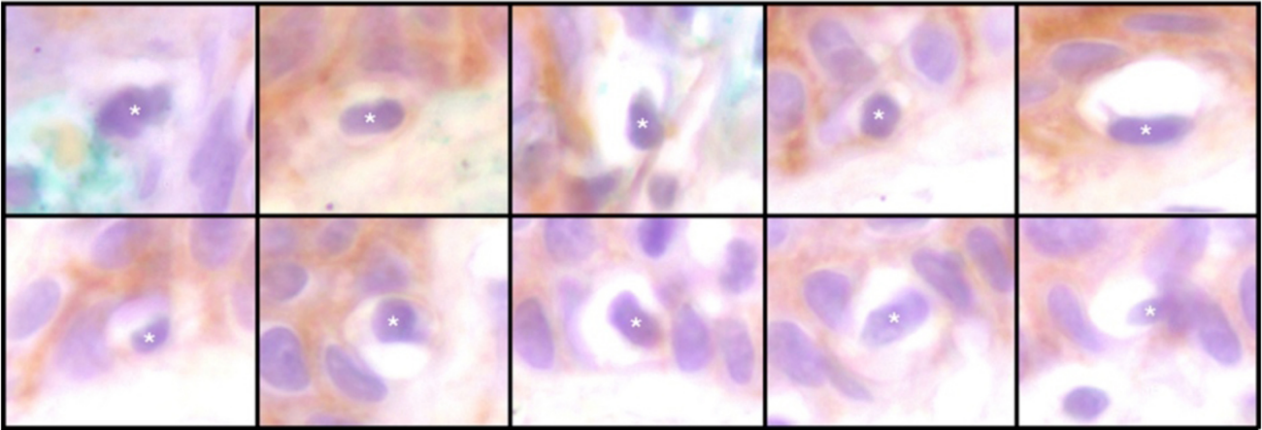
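Ten small fields of skin epidermis, each centred on a melanocyte with its blue nucleus marked by a white asterisk. The melanocyte nuclei are small, dense and oval, and most lie within or next to a clear white halo. The surrounding keratinocytes have larger, paler blue oval nuclei and light brown-tinged cytoplasm, while little brown lies directly around the marked nuclei.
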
